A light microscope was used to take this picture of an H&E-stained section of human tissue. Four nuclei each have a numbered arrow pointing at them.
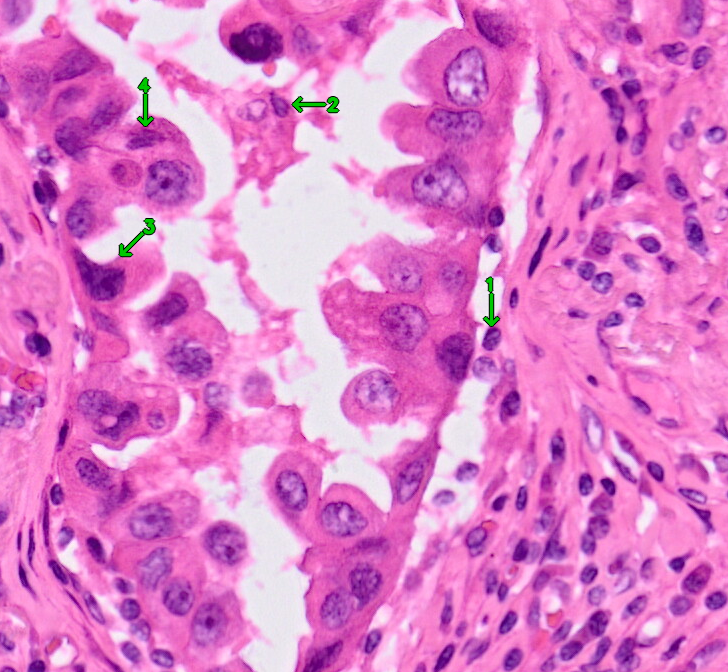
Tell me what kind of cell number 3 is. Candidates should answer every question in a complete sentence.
Cell 3 in the field is a carcinoma cell.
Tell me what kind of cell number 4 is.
In this section, the cell tagged 4 is a carcinoma cell.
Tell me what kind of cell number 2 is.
Among the marked cells, number 2 is a macrophage or monocyte.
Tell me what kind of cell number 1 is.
Cell 1 in the field of view is a lymphocyte.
